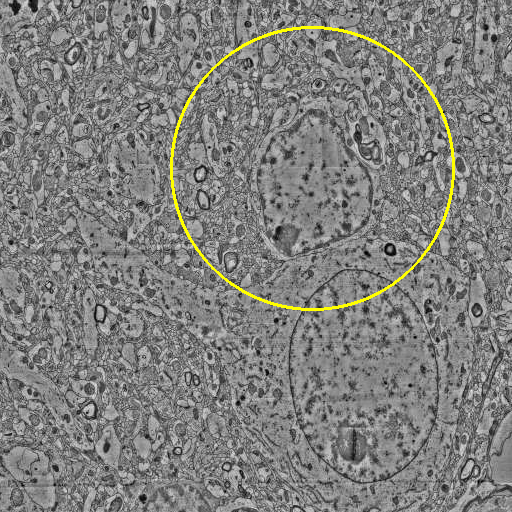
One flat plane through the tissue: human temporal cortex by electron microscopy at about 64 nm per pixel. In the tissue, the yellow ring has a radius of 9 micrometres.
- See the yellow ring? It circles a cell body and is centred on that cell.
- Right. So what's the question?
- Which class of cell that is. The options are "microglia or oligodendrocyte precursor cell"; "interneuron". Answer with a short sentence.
The centre of the ring holds an interneuron.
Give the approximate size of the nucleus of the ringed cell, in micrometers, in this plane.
The nucleus works out at approximately 9 by 7 micrometres in this plane.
